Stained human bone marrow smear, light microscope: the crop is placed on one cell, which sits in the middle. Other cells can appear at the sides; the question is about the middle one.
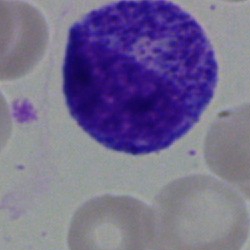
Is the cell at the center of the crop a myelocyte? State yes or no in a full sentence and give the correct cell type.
Yes, the middle cell is classified as a myelocyte.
